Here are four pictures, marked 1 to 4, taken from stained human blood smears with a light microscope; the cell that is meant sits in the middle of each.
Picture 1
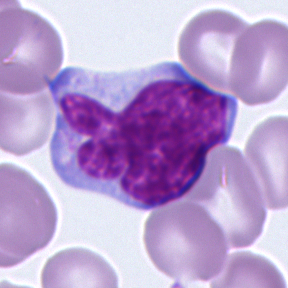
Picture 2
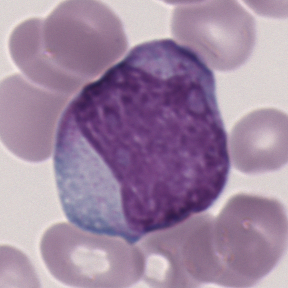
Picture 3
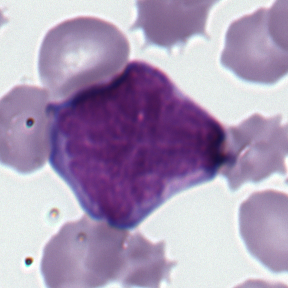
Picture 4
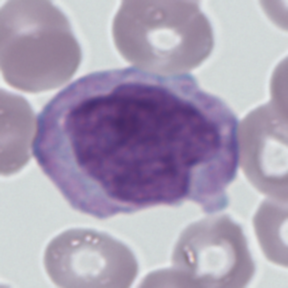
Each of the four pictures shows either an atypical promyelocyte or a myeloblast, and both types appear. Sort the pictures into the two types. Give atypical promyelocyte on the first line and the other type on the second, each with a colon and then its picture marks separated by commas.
atypical promyelocyte: 2, 4
myeloblast: 1, 3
